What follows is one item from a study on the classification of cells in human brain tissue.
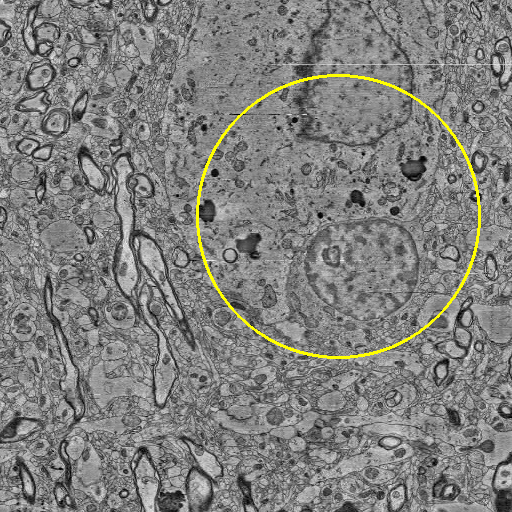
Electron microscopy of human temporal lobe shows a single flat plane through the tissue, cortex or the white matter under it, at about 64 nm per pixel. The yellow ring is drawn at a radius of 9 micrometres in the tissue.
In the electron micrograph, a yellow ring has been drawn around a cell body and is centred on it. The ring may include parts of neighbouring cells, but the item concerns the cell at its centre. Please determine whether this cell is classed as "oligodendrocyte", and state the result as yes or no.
yes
